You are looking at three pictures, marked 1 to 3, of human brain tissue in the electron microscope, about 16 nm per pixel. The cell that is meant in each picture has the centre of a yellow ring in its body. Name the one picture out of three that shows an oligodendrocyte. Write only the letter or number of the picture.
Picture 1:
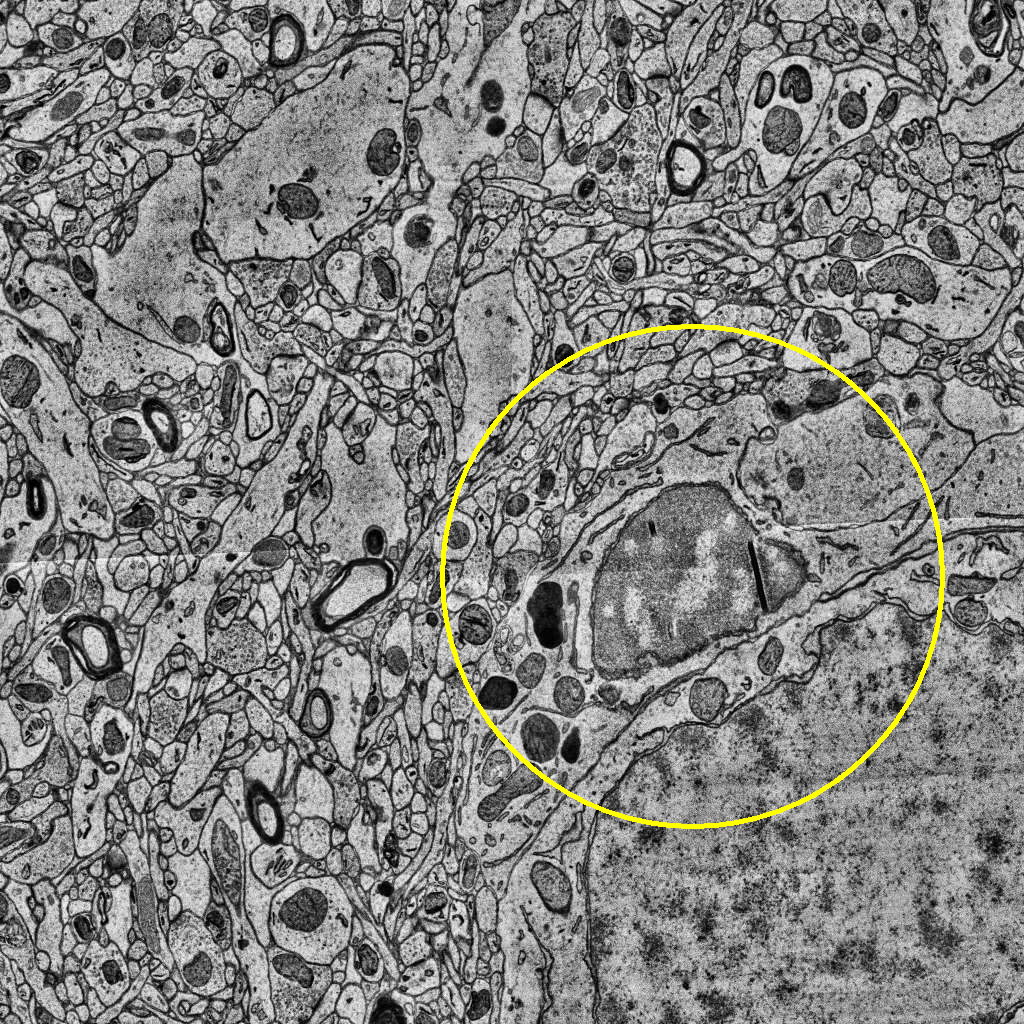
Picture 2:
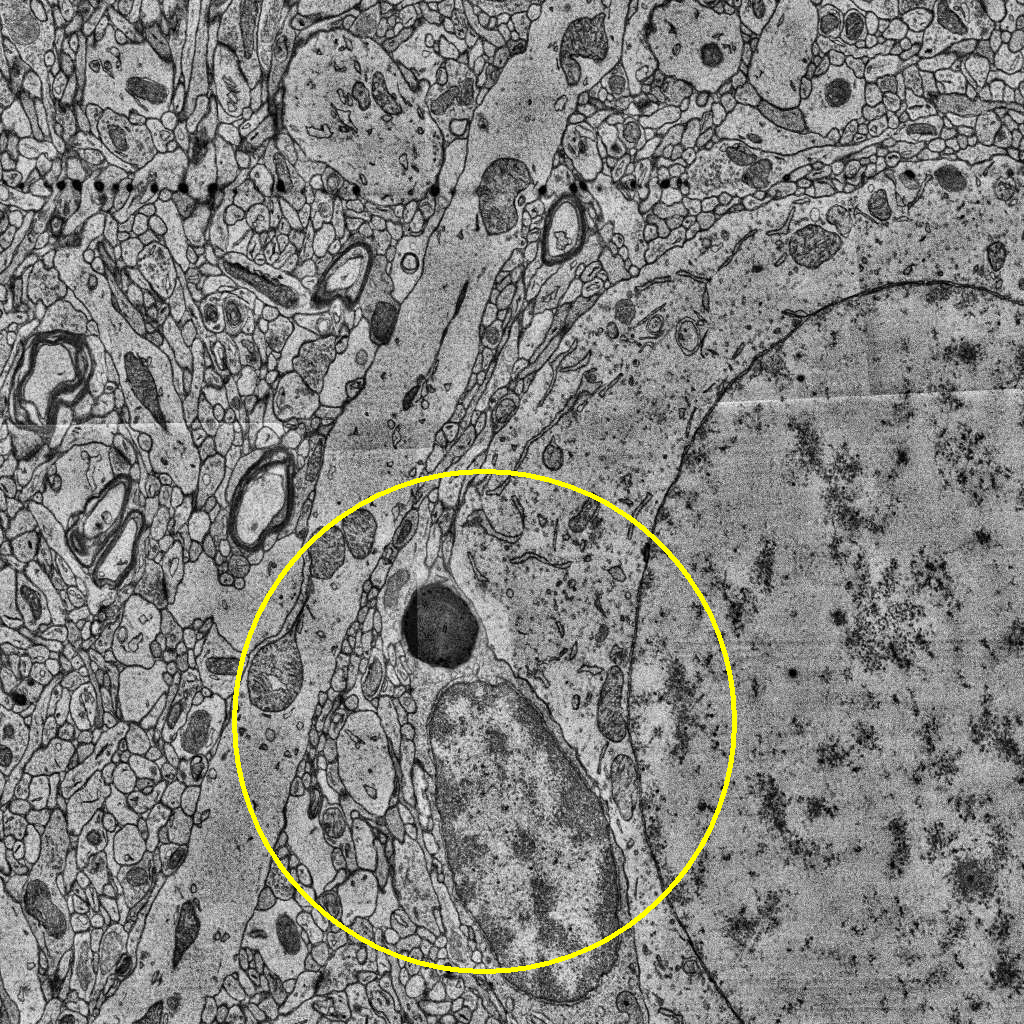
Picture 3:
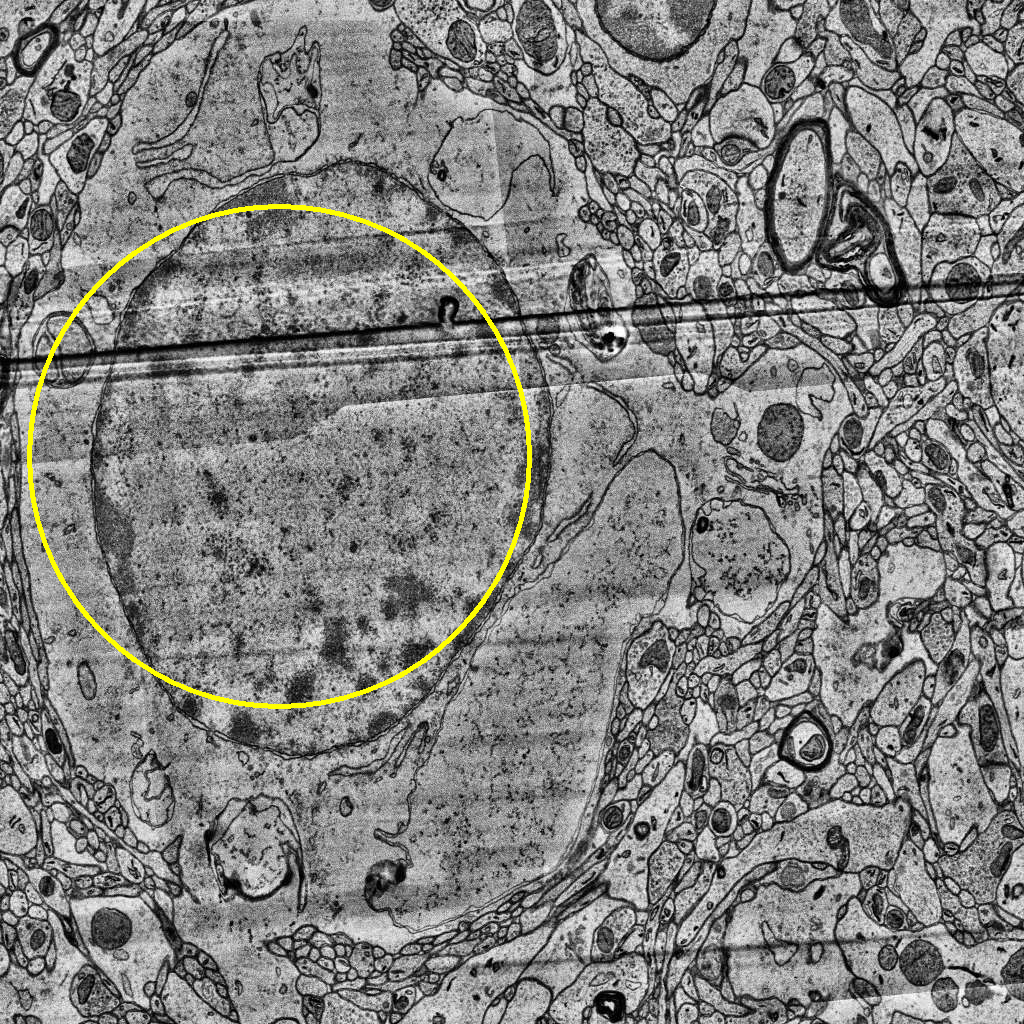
2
